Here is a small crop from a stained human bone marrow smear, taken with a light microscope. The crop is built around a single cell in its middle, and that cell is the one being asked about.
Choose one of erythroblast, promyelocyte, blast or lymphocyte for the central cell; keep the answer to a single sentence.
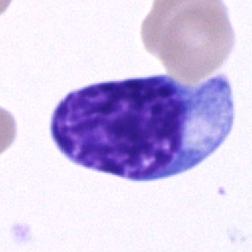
Present in the middle of the crop is a blast.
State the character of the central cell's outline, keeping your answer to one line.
Its periphery is smooth, and no projections arise from it.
